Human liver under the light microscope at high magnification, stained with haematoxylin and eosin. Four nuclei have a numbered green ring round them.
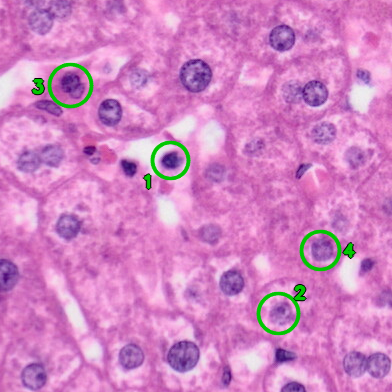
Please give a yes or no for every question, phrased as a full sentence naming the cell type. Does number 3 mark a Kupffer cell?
Yes, the cell with its nucleus marked 3 is a Kupffer cell.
